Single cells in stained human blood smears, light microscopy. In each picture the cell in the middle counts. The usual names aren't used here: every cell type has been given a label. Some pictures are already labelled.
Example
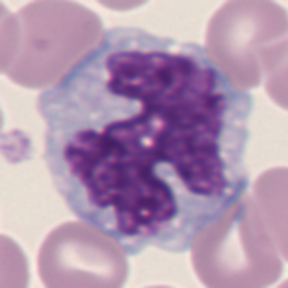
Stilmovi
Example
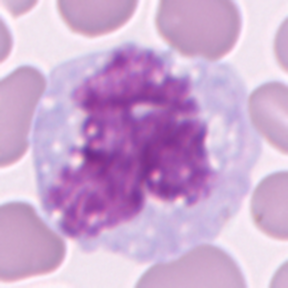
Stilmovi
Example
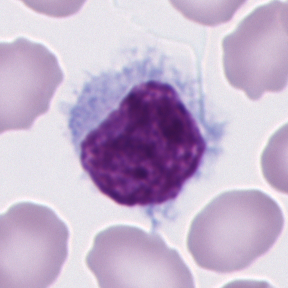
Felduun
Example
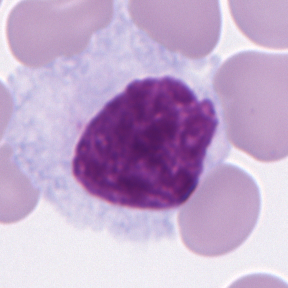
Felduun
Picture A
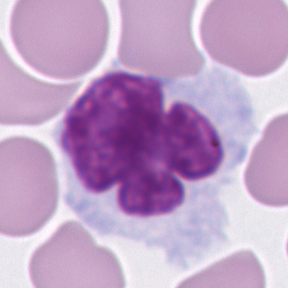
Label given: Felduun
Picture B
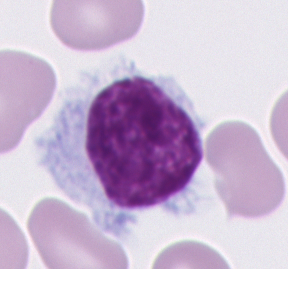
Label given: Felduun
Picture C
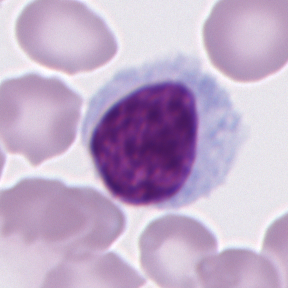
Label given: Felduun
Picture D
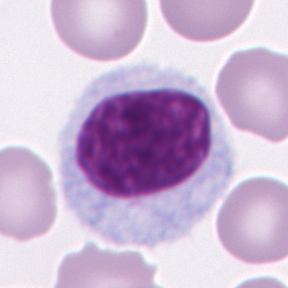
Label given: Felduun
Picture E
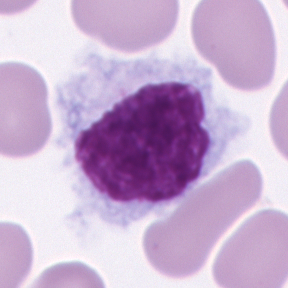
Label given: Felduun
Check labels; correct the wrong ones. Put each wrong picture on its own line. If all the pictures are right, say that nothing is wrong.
None of the labels needs changing.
